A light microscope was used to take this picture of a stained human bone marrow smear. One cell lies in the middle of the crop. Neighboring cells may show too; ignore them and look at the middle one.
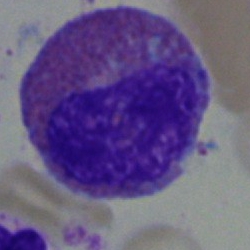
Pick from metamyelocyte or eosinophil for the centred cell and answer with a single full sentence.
Of the cells in this crop, the central one is an eosinophil.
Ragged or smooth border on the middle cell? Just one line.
Around its whole circumference the outline stays smooth, free of projections.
